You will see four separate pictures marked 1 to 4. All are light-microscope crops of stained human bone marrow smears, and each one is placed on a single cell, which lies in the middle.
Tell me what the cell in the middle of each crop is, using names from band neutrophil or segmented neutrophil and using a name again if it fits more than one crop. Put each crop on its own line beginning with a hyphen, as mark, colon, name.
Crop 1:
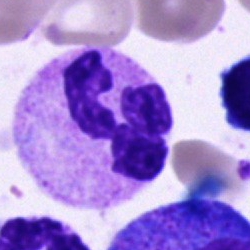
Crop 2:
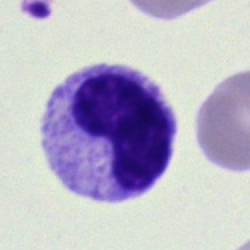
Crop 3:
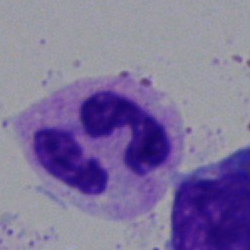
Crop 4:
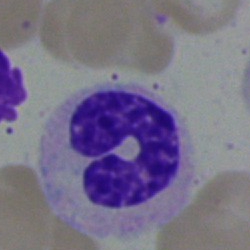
- 1: segmented neutrophil
- 2: band neutrophil
- 3: segmented neutrophil
- 4: band neutrophil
